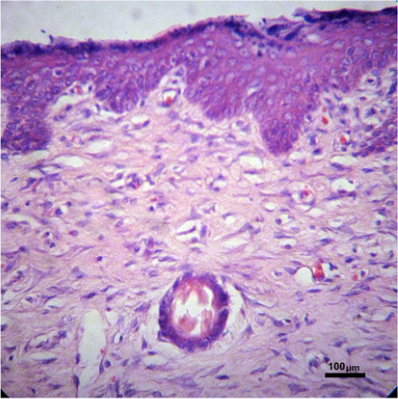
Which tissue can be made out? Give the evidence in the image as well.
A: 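Downgrowths of the epithelium project into an underlying connective tissue. The connective tissue holds spindle-shaped nuclei and small blood vessels.
Hence: Skin.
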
